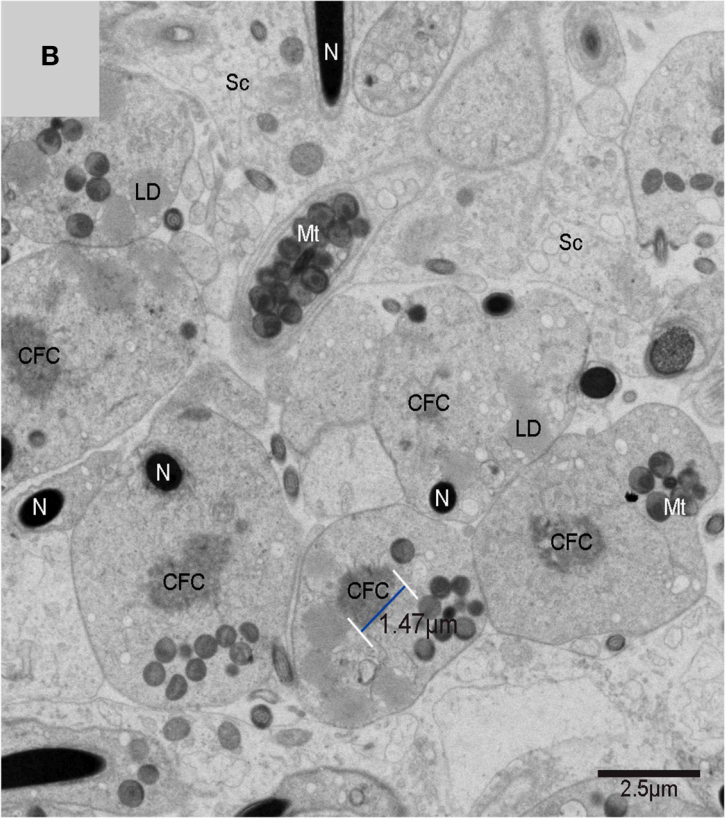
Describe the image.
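This electron micrograph shows late spermatids at the compact nucleus stage, lying in the testis between pale Sertoli cell cytoplasm. Their nuclei are small, oval to elongated and uniformly black, with no granular texture. Each cell has a broad pale cytoplasm. Some mitochondria are gathered into groups inside membrane-bound profiles.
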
